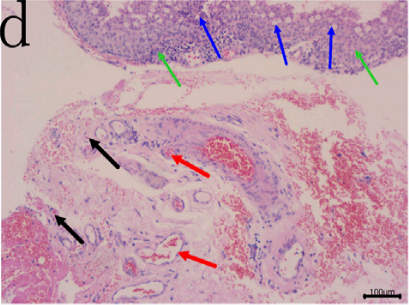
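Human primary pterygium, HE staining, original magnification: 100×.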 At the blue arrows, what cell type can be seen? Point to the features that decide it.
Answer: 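The arrows point to pale, rounded cells within the surface epithelium. These cells have clear, vacuolated cytoplasm unlike their neighbours. So: goblet cells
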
